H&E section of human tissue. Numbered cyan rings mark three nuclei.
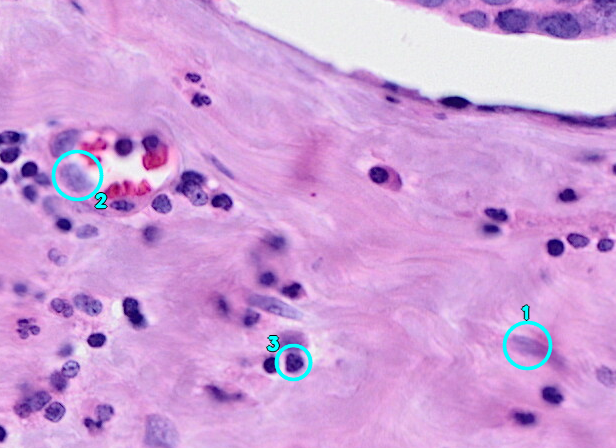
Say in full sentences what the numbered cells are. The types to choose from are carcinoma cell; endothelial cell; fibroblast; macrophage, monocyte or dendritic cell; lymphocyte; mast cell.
Cell 1 is a fibroblast. Cell 2 is an endothelial cell. Cell 3 is a lymphocyte.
